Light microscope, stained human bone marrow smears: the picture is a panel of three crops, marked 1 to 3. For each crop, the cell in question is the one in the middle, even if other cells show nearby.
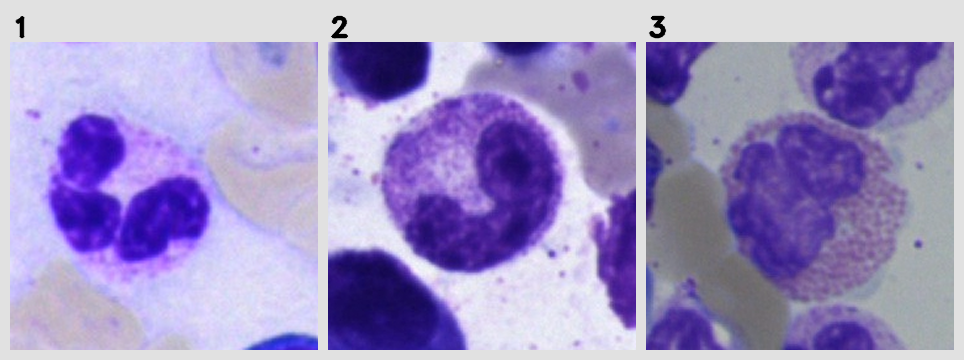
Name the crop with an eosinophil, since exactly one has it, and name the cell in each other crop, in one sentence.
Crop 3 presents an eosinophil, while crop 1 is a segmented neutrophil and crop 2 is a band neutrophil.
